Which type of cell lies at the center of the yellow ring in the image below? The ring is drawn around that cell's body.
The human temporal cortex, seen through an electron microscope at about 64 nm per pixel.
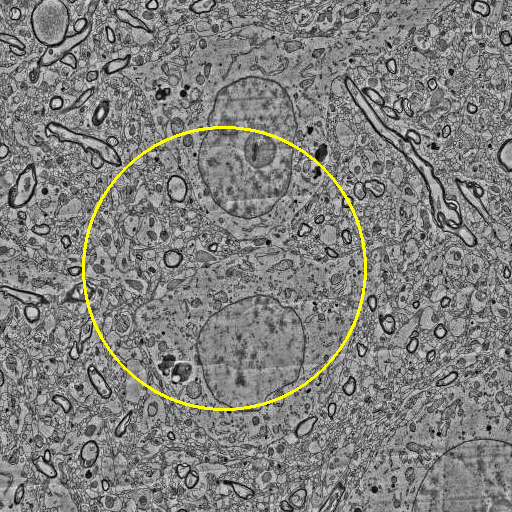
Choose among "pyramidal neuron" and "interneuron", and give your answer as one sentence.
The cell body at the center belongs to a pyramidal neuron.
